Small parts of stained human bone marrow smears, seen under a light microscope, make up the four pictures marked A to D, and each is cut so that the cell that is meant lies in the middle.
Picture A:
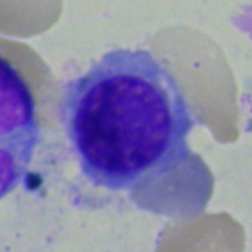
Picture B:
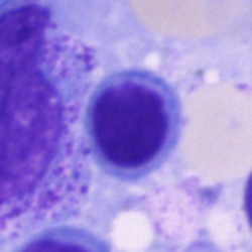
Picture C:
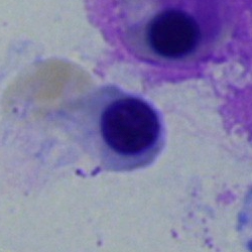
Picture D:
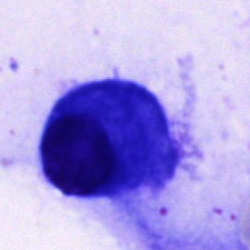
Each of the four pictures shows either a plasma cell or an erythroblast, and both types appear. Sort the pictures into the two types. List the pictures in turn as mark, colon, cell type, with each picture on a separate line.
A: erythroblast
B: erythroblast
C: erythroblast
D: plasma cell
